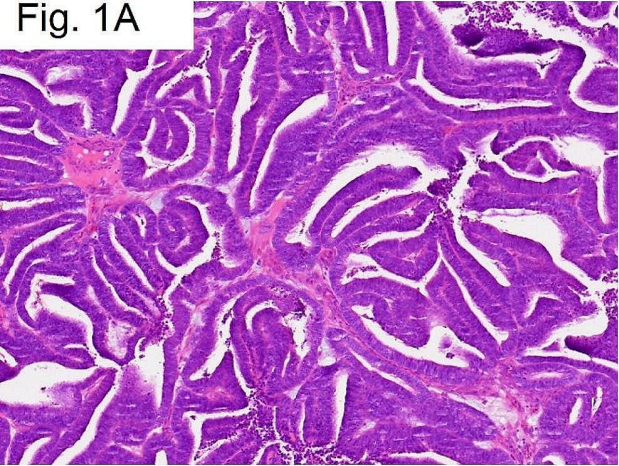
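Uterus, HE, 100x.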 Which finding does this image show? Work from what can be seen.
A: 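Endometrioid adenocarcinoma. Crowded, back-to-back irregular glands and papillary fronds with little intervening stroma. Glands are lined by stratified columnar epithelial cells with elongated nuclei.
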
